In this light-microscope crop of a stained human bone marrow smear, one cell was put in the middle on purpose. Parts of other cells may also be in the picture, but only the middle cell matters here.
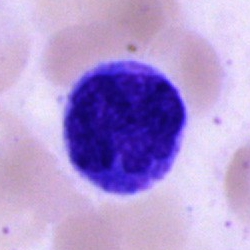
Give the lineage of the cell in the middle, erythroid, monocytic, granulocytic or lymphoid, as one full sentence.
The central cell derives from the monocytic lineage.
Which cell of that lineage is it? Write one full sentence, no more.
The cell marked by its central position in the crop is a monocyte.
